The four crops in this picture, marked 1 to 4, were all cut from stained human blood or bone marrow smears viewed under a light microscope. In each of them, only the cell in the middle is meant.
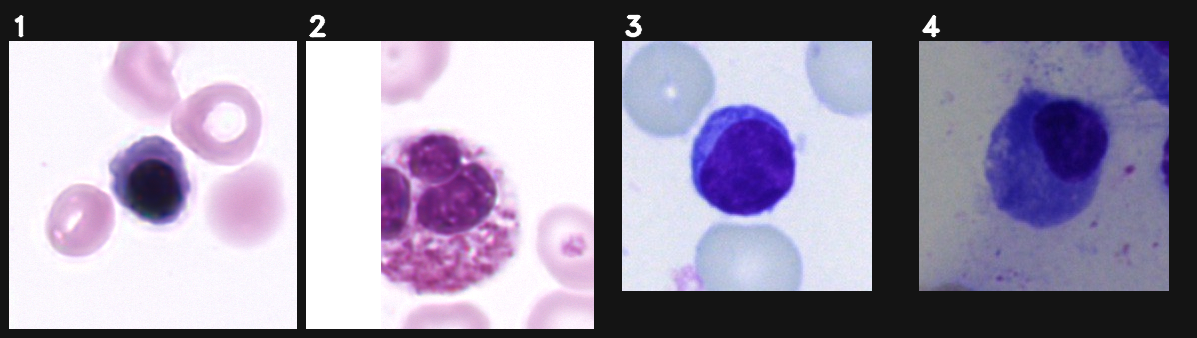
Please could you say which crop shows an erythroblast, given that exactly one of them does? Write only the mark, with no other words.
1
